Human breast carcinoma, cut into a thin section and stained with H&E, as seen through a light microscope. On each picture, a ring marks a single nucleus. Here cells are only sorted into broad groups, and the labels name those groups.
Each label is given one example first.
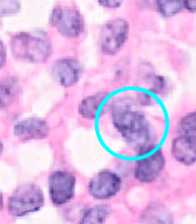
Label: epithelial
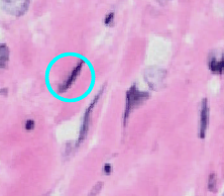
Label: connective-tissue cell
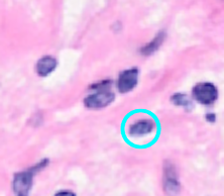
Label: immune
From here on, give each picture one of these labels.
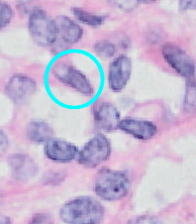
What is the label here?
epithelial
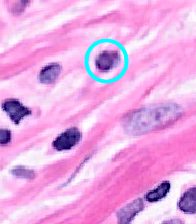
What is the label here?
immune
